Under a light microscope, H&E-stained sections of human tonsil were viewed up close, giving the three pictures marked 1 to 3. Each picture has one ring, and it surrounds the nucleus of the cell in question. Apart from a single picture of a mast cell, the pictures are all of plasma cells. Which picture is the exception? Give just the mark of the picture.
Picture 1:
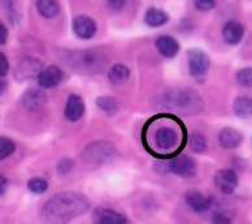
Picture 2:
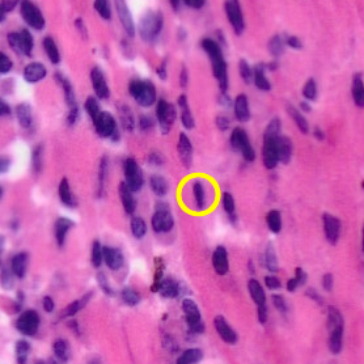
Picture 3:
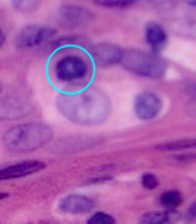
2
